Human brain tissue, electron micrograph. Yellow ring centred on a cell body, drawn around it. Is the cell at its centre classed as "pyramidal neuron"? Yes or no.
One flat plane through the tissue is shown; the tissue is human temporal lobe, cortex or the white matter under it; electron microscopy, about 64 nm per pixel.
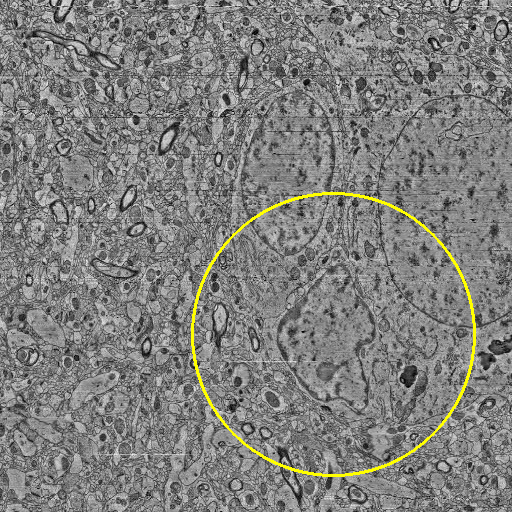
No, it is classed as another kind.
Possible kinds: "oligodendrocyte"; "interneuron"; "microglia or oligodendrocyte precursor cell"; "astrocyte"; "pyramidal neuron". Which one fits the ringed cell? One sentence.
The cell shown in the ring is a microglial cell or oligodendrocyte precursor cell.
